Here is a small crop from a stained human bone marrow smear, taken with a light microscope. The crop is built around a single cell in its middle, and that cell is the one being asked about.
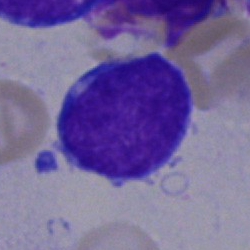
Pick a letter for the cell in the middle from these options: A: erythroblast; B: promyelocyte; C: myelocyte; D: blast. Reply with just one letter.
D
